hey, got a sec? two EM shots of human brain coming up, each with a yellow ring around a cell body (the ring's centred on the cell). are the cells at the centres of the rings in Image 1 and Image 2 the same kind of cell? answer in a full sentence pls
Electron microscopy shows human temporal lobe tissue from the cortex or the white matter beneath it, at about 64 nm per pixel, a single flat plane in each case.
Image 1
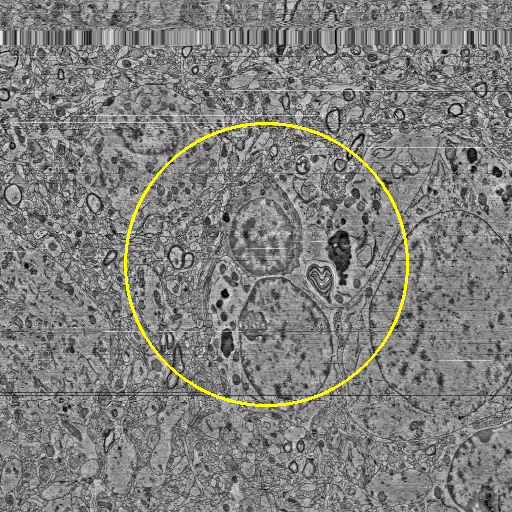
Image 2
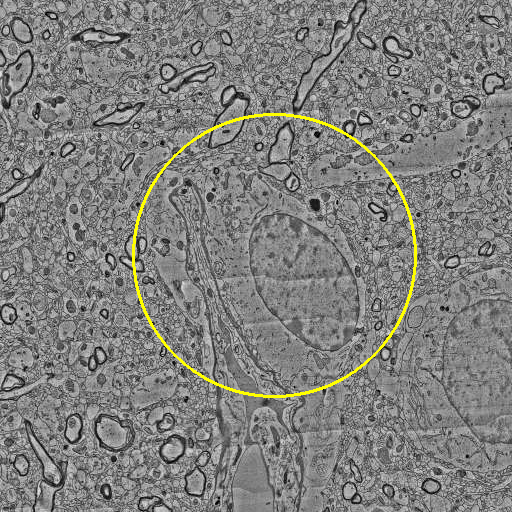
No, they are two kinds of cell.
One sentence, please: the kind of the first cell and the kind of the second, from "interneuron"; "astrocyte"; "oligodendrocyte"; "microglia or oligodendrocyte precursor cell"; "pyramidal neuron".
The ring in the first picture surrounds an oligodendrocyte, and the ring in the second surrounds a microglial cell or oligodendrocyte precursor cell.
